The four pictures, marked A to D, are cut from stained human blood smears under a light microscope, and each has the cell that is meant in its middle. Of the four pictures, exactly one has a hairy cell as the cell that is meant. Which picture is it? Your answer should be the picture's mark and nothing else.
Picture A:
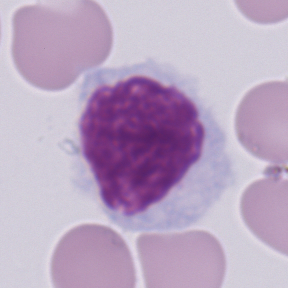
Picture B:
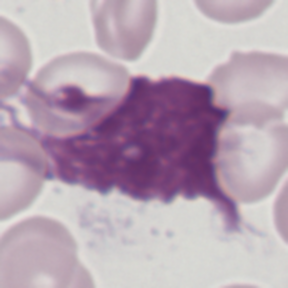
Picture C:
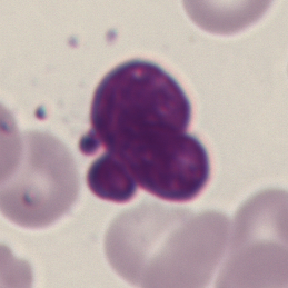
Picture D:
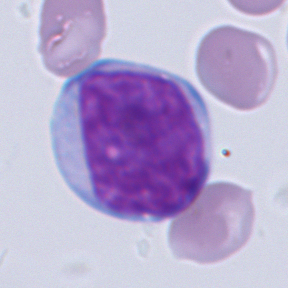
A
